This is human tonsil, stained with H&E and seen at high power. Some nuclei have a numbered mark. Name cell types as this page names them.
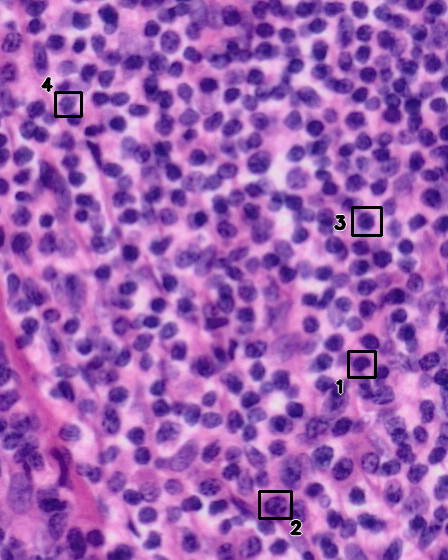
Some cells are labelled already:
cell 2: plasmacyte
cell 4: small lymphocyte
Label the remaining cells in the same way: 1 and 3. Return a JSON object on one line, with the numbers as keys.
{"1": "small lymphocyte", "3": "small lymphocyte"}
